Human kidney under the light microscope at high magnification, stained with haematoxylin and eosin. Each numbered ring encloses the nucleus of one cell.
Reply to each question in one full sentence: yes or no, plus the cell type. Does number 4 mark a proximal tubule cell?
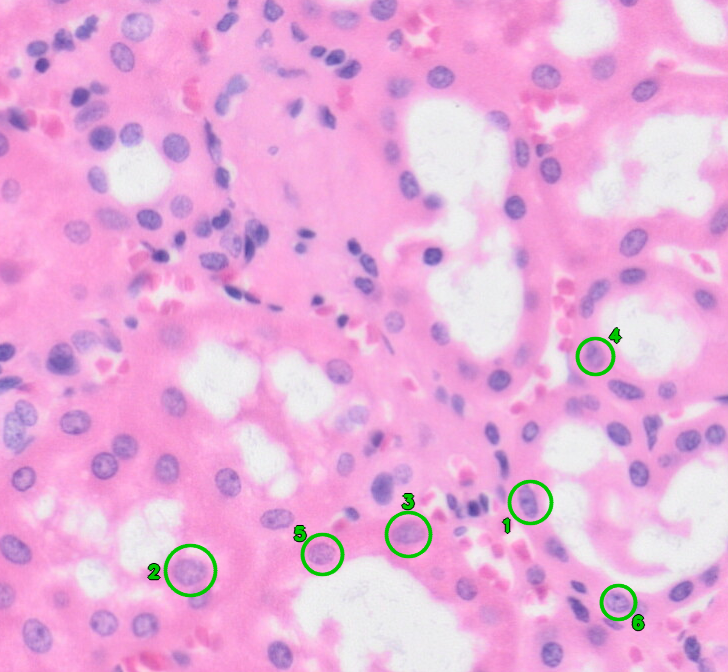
No, the correct answer for cell 4 is a collecting duct cell, not a proximal tubule cell.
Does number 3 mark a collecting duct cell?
No, the cell identified by number 3 is a proximal tubule cell, not a collecting duct cell.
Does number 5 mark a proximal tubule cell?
Yes, the number 5 belongs to a proximal tubule cell.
